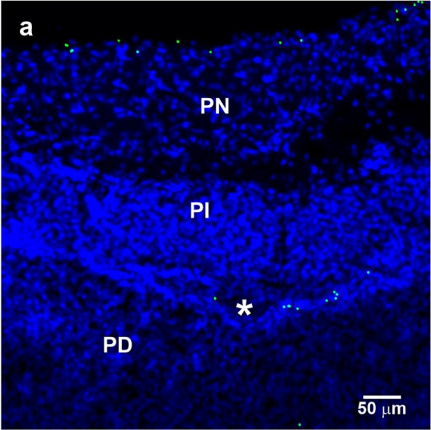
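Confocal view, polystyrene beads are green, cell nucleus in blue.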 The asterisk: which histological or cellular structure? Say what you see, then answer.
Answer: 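Pituitary cleft. The asterisk lies in a thin dark, nucleus-poor gap between two bands of densely nucleated tissue. Green dots line this gap.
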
